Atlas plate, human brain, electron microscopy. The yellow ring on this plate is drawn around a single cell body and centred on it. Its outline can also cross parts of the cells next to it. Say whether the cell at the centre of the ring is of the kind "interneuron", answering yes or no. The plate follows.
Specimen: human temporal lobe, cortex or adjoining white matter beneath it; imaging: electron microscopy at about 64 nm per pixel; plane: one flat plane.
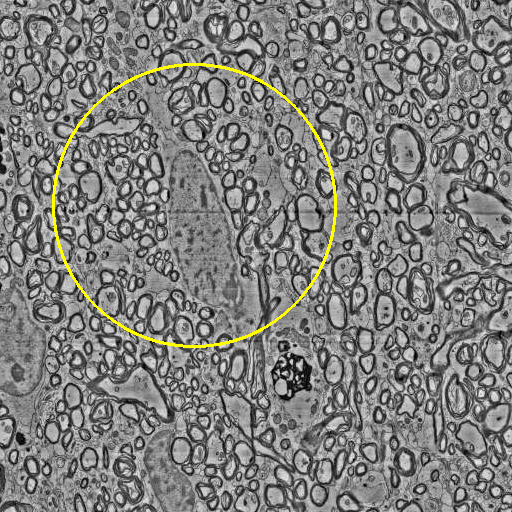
No, the cell is of another kind.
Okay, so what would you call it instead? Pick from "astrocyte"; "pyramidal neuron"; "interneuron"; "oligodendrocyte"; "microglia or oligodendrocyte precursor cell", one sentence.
The cell in the ring is an astrocyte instead.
